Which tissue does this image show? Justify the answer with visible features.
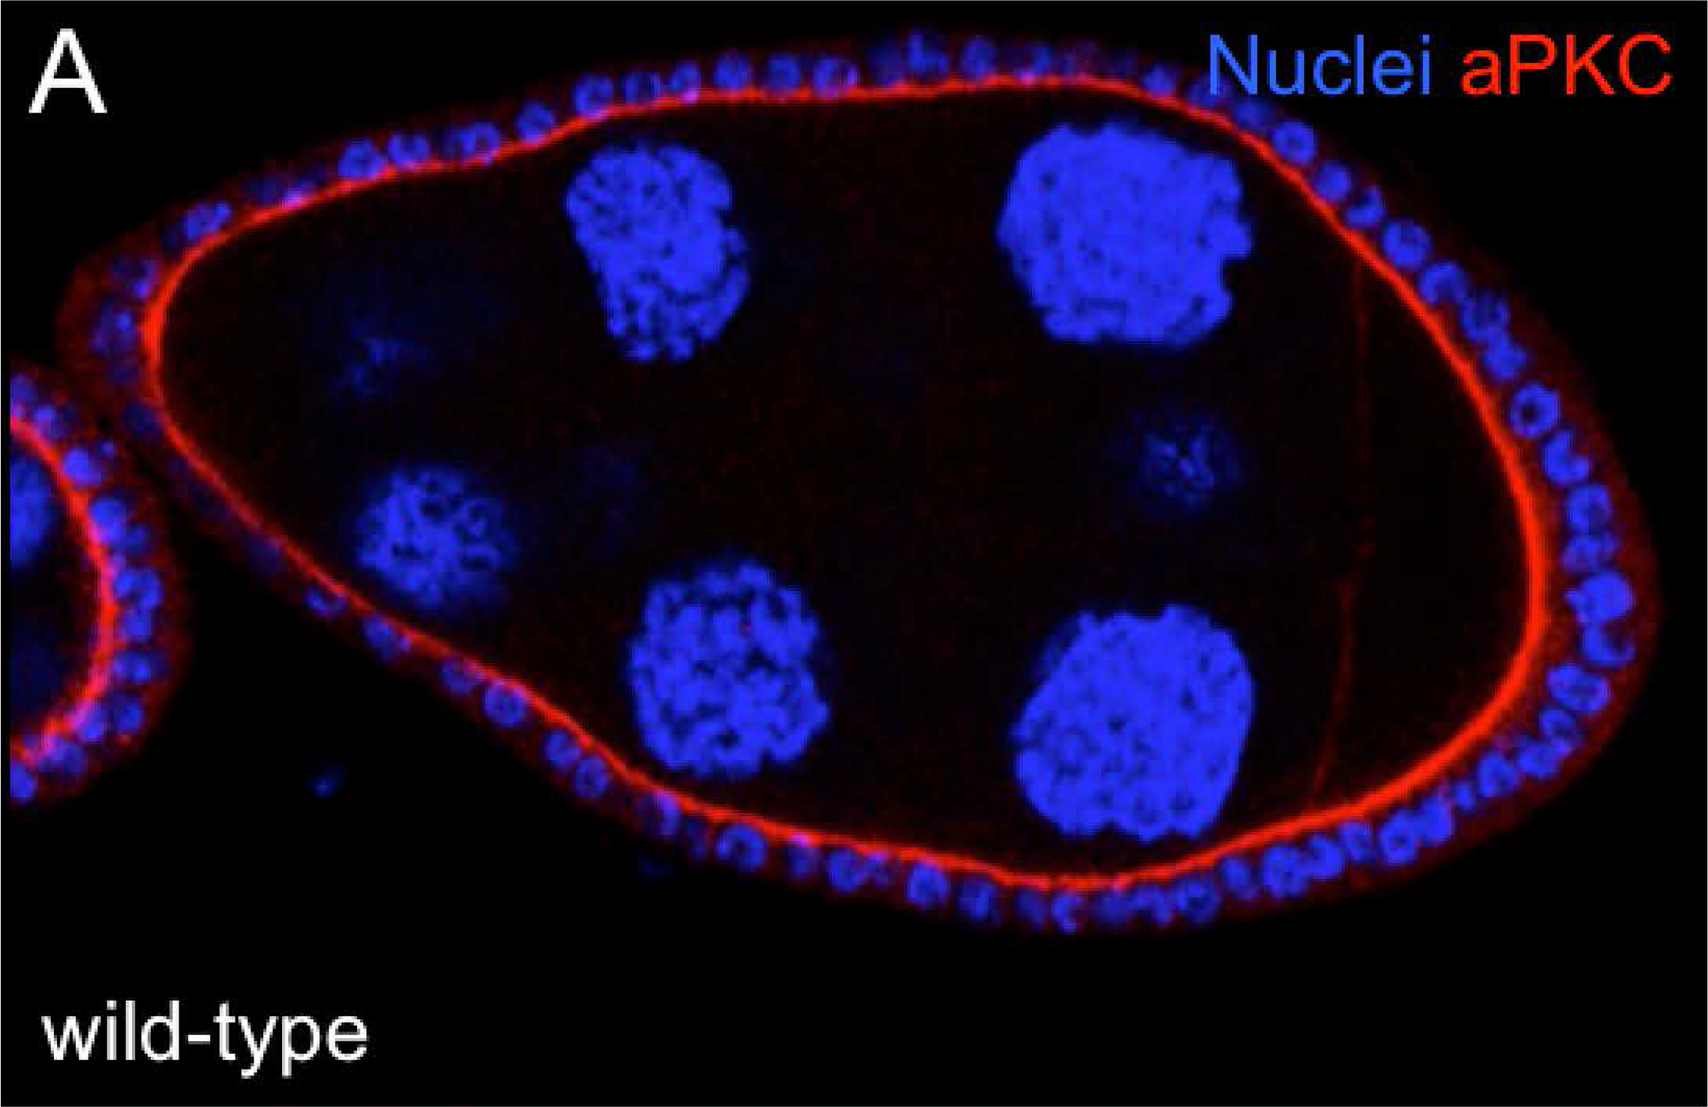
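Egg chamber. An oval structure with a single layer of small cells around its rim. Several very large nuclei lie in the interior.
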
